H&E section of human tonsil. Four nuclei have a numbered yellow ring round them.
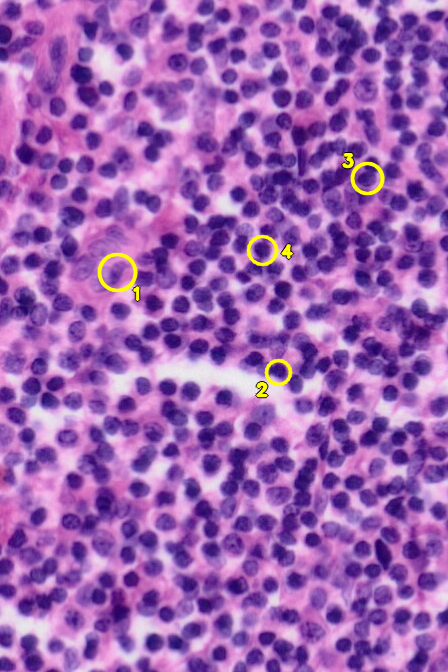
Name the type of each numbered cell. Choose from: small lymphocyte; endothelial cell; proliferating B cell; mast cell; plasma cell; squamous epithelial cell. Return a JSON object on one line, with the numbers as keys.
{"1": "endothelial cell", "2": "small lymphocyte", "3": "small lymphocyte", "4": "small lymphocyte"}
